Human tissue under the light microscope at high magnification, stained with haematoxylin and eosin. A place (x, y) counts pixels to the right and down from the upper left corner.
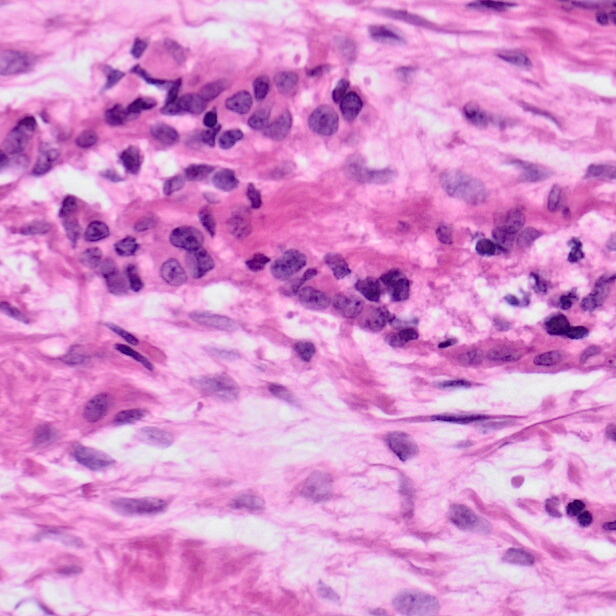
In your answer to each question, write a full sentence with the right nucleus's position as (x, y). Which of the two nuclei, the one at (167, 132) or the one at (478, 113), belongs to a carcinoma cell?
Of the two nuclei, the one sitting at (167, 132) belongs to a carcinoma cell.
